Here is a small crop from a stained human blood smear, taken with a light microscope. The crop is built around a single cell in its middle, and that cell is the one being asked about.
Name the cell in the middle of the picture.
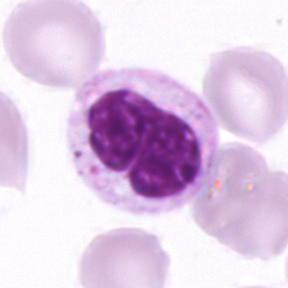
band neutrophil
